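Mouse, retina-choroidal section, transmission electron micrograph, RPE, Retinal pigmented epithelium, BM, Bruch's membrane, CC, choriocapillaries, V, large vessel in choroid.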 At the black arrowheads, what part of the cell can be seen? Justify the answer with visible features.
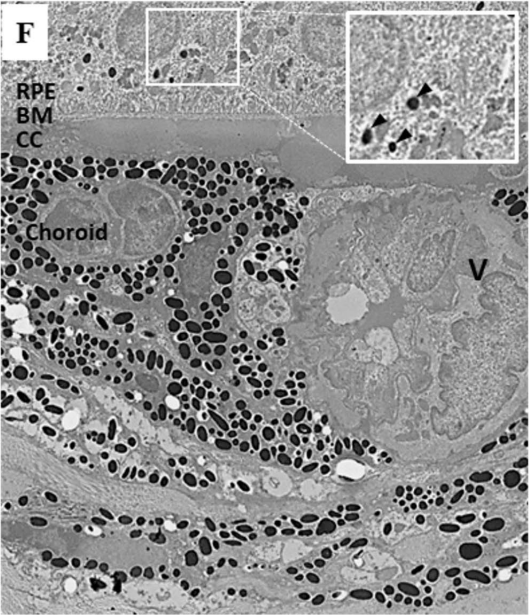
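Melanosomes. The inset shows a few small electron-dense dark granules in the cytoplasm. The black arrowheads point at these granules.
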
